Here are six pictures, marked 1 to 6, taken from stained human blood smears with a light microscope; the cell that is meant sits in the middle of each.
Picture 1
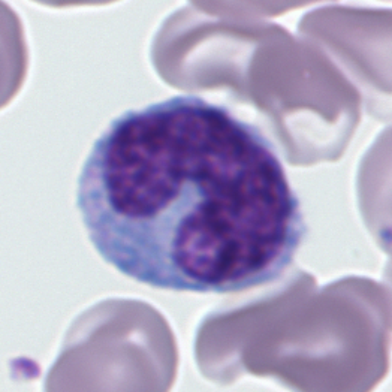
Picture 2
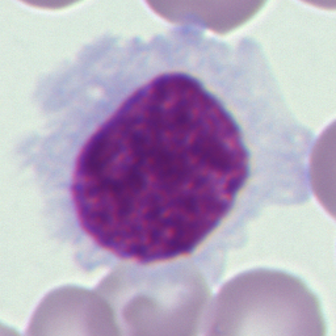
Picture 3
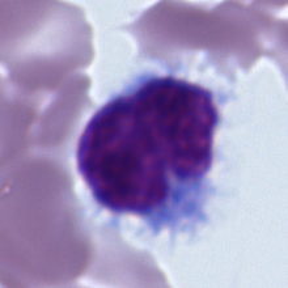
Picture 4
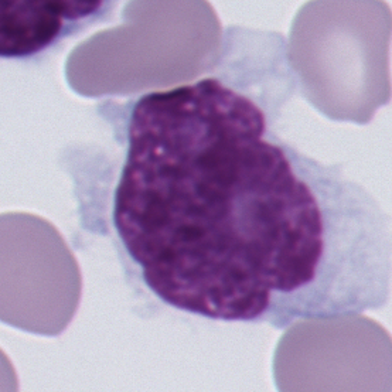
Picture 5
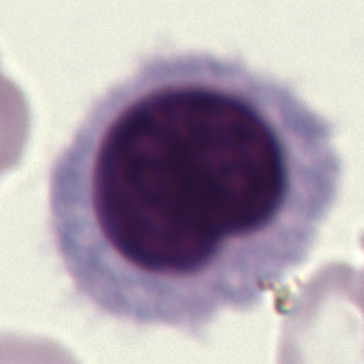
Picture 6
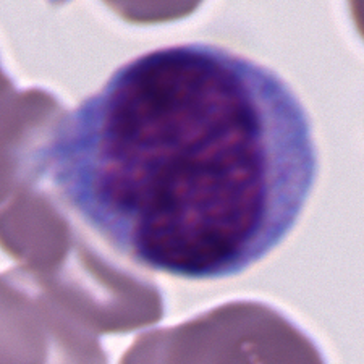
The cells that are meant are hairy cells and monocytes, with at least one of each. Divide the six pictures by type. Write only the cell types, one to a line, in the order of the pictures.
monocyte
hairy cell
hairy cell
hairy cell
hairy cell
monocyte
